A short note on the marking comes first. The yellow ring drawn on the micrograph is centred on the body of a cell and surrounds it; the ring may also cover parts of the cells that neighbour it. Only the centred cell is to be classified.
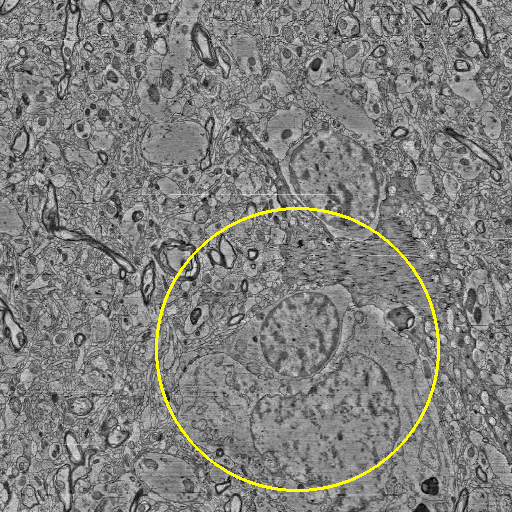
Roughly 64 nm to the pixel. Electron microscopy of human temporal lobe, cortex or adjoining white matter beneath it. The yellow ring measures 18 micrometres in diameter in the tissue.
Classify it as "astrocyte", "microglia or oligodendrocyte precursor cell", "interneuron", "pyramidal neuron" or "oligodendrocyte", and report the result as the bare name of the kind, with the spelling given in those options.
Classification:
oligodendrocyte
